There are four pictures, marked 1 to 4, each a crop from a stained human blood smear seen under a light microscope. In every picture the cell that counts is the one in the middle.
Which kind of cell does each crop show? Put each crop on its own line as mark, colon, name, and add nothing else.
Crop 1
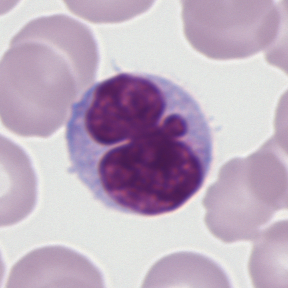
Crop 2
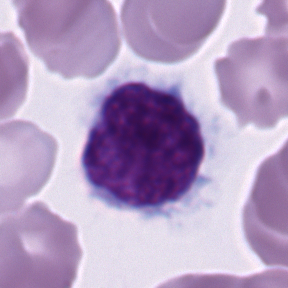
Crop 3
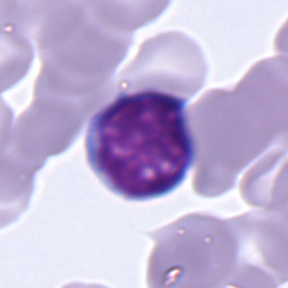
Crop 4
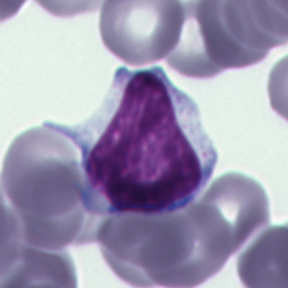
1: typical lymphocyte
2: hairy cell
3: typical lymphocyte
4: typical lymphocyte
